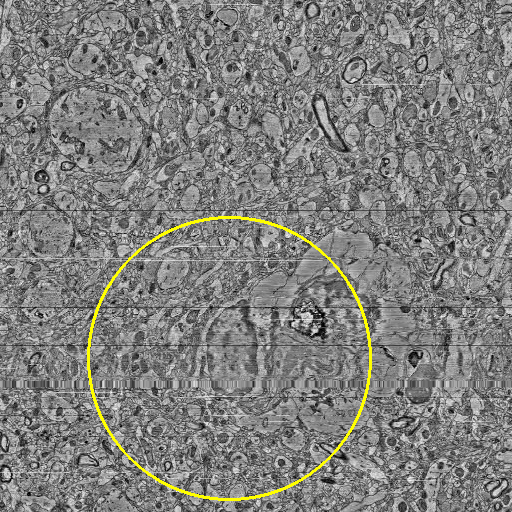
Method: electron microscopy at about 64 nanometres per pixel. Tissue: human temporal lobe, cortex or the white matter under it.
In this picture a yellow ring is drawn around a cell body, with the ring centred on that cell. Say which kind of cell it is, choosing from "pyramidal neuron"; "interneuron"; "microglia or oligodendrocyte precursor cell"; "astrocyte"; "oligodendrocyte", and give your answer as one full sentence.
Here it is a microglial cell or oligodendrocyte precursor cell that sits at the centre of the drawn yellow ring.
